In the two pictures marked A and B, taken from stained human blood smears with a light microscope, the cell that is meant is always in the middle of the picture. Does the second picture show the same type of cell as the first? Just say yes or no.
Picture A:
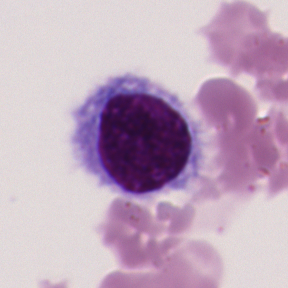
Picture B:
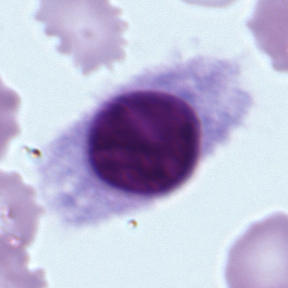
yes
